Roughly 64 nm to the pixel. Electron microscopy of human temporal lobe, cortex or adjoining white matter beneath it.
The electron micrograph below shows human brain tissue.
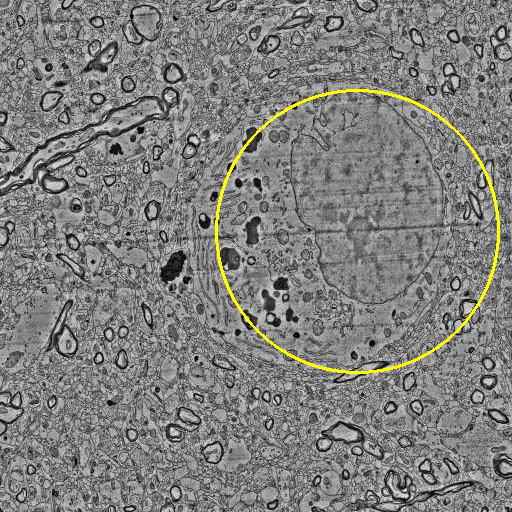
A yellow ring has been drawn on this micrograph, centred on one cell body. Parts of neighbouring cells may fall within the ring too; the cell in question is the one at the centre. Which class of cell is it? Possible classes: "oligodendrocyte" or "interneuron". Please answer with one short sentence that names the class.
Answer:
In the centre of the ring sits an interneuron.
